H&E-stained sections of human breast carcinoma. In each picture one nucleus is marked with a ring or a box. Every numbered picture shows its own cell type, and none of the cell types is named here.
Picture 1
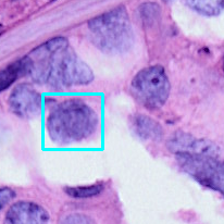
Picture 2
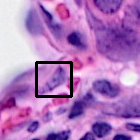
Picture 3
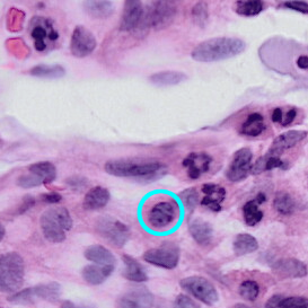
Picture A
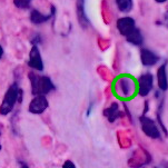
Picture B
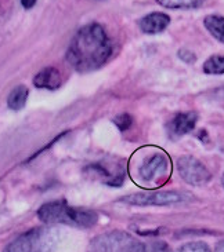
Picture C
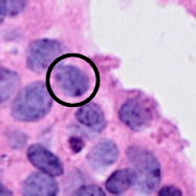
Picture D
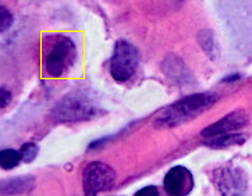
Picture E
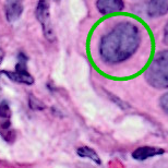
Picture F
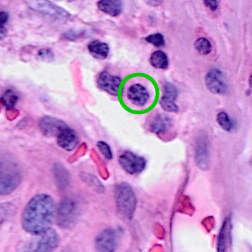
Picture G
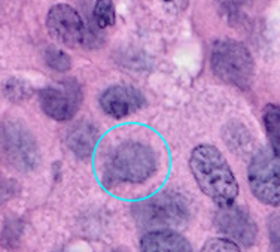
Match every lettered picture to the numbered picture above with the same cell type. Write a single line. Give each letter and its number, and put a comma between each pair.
A 2, B 2, C 1, D 3, E 1, F 3, G 1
